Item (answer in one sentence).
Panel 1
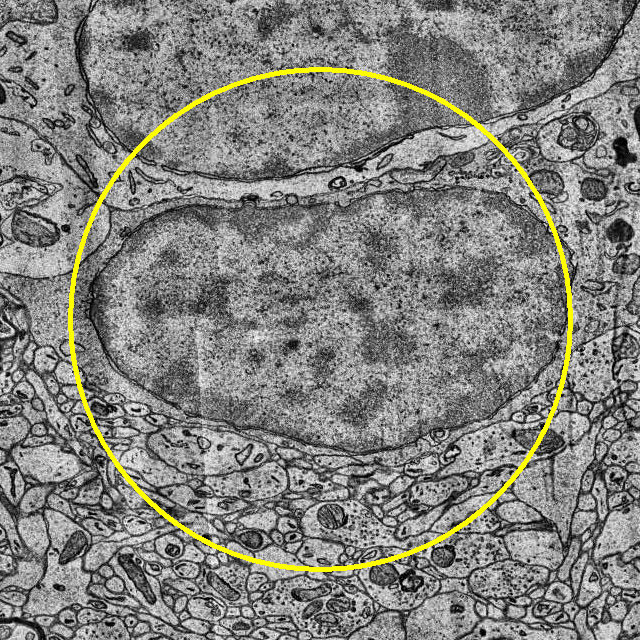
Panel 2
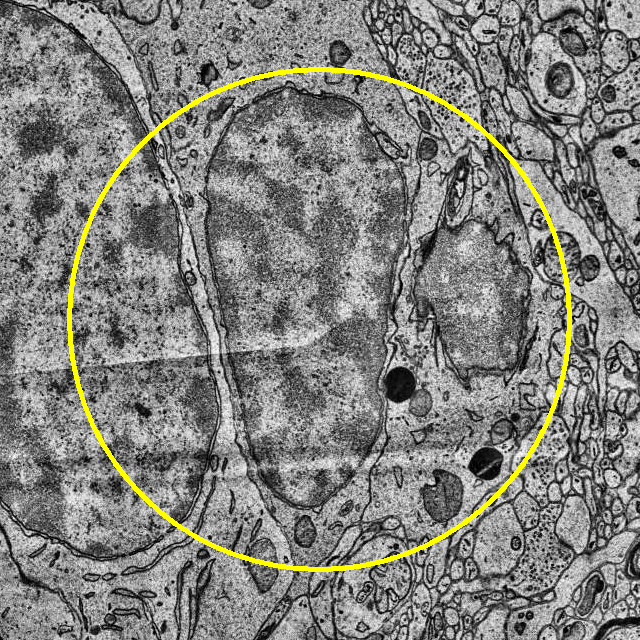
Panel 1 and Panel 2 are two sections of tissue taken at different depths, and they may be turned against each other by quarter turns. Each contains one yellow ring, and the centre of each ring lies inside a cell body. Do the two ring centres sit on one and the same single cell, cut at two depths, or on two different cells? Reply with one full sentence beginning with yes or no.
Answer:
Yes, one cell is ringed in yellow twice over.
